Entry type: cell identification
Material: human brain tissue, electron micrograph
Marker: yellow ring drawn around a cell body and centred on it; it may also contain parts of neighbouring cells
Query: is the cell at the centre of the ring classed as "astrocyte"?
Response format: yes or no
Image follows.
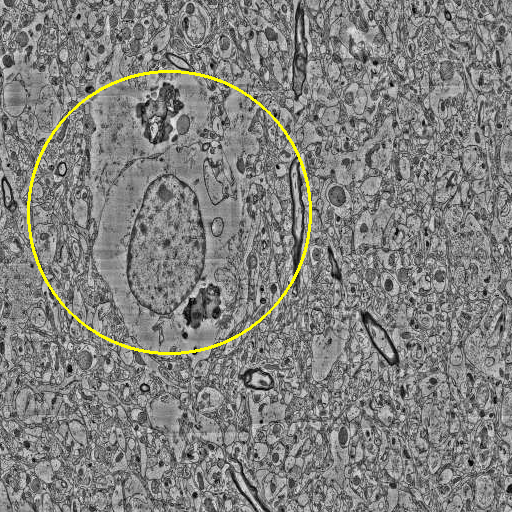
yes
